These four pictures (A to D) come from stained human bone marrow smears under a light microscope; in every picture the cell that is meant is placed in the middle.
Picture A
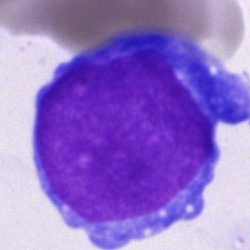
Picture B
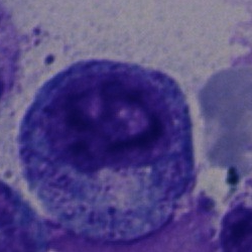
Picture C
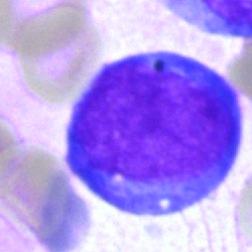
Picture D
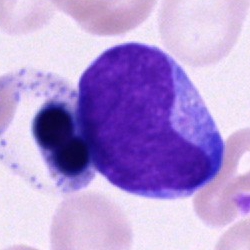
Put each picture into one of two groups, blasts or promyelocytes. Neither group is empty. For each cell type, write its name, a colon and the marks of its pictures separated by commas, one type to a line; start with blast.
blast: A, C, D
promyelocyte: B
